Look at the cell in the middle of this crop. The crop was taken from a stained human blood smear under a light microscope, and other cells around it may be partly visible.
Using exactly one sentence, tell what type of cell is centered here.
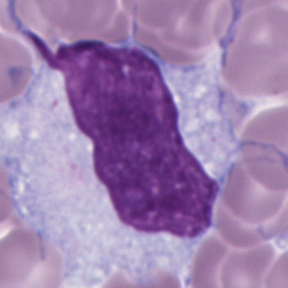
Occupying the centre of the crop is a monocyte.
